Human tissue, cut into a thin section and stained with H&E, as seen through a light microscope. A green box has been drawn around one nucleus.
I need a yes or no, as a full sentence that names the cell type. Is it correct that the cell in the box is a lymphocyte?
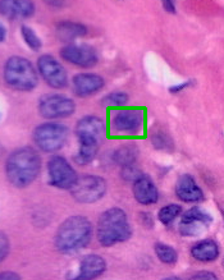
No, the cell in the box is recognized as a basal keratinocyte rather than a lymphocyte.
